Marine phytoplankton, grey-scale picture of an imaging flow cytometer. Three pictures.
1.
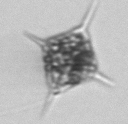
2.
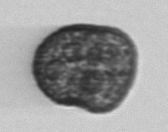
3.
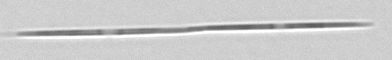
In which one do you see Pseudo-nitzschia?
In picture 3.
